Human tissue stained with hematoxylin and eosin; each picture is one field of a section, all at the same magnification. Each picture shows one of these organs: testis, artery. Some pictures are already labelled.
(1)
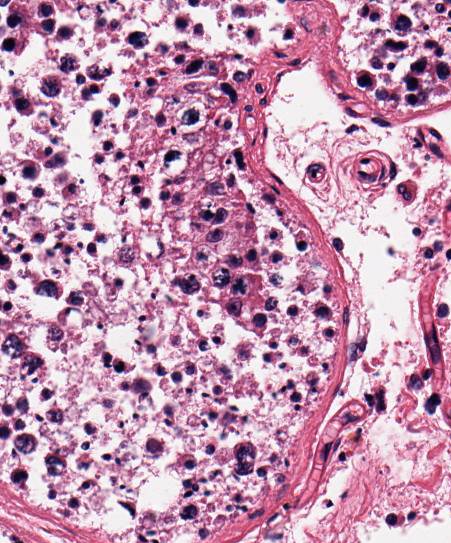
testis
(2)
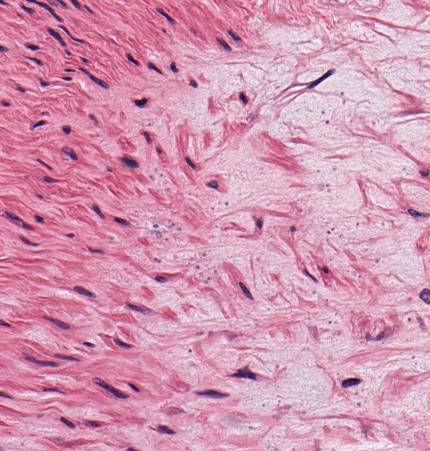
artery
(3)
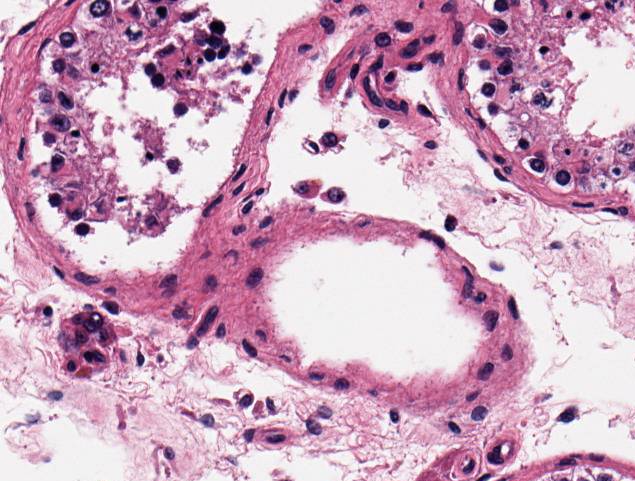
testis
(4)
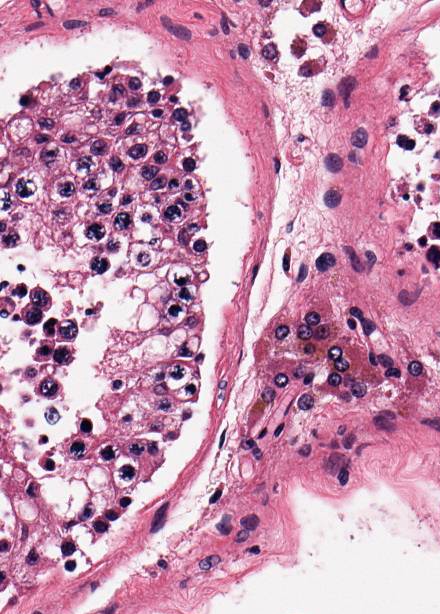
testis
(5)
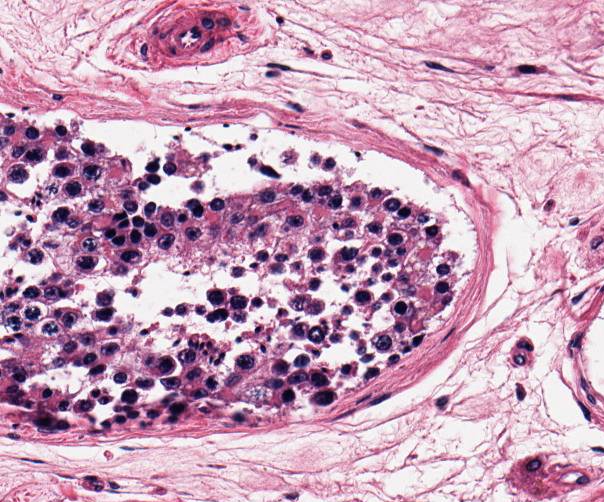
testis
